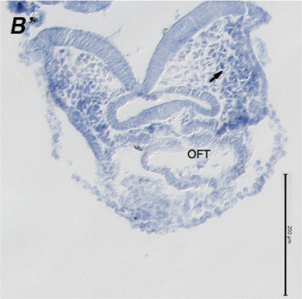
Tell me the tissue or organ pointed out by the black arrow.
pharyngeal mesenchyme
